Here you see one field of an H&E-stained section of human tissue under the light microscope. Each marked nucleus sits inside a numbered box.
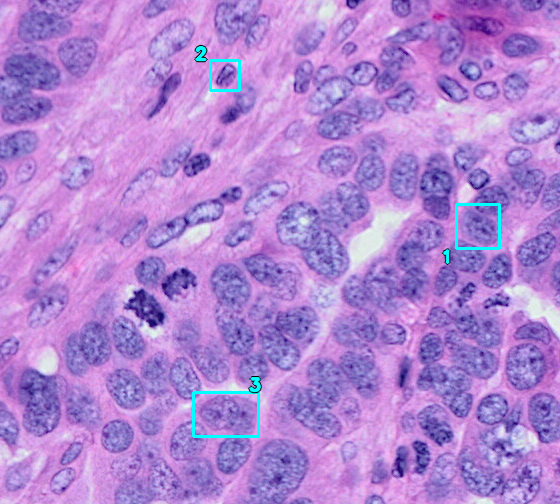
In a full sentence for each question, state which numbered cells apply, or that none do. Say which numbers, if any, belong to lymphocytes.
Cell 2 stands alone among the numbered cells as a lymphocyte.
